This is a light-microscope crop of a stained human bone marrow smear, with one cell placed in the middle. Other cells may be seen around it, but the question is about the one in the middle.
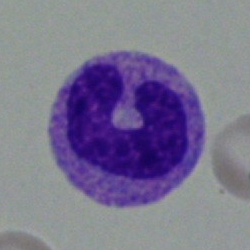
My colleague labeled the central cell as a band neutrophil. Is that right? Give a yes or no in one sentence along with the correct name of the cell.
Yes, the cell shown at the crop's centre is a band neutrophil.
